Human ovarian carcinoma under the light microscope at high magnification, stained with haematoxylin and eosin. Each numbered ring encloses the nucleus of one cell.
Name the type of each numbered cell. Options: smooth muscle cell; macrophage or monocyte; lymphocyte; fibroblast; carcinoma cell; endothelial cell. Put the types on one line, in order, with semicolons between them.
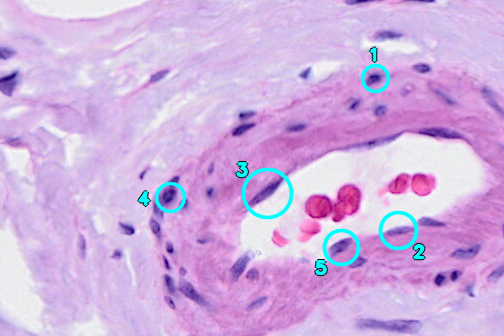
smooth muscle cell; endothelial cell; endothelial cell; smooth muscle cell; endothelial cell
